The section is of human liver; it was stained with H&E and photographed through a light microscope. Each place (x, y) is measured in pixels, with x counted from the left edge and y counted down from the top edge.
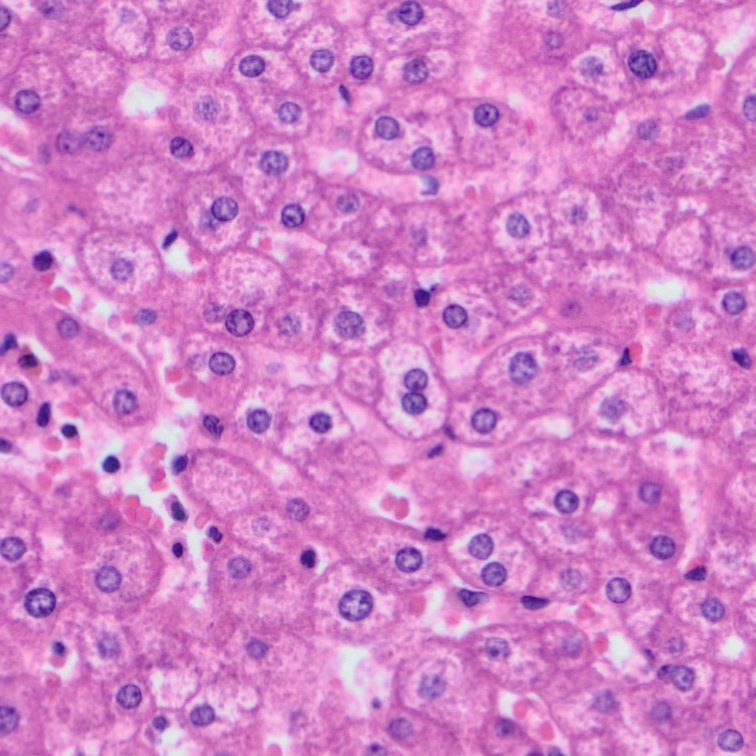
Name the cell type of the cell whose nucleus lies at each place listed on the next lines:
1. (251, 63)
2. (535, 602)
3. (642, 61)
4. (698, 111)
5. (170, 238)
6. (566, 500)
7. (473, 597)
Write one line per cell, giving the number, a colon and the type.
1: hepatocyte
2: fibroblast or stellate cell
3: hepatocyte
4: endothelial cell
5: endothelial cell
6: hepatocyte
7: Kupffer cell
